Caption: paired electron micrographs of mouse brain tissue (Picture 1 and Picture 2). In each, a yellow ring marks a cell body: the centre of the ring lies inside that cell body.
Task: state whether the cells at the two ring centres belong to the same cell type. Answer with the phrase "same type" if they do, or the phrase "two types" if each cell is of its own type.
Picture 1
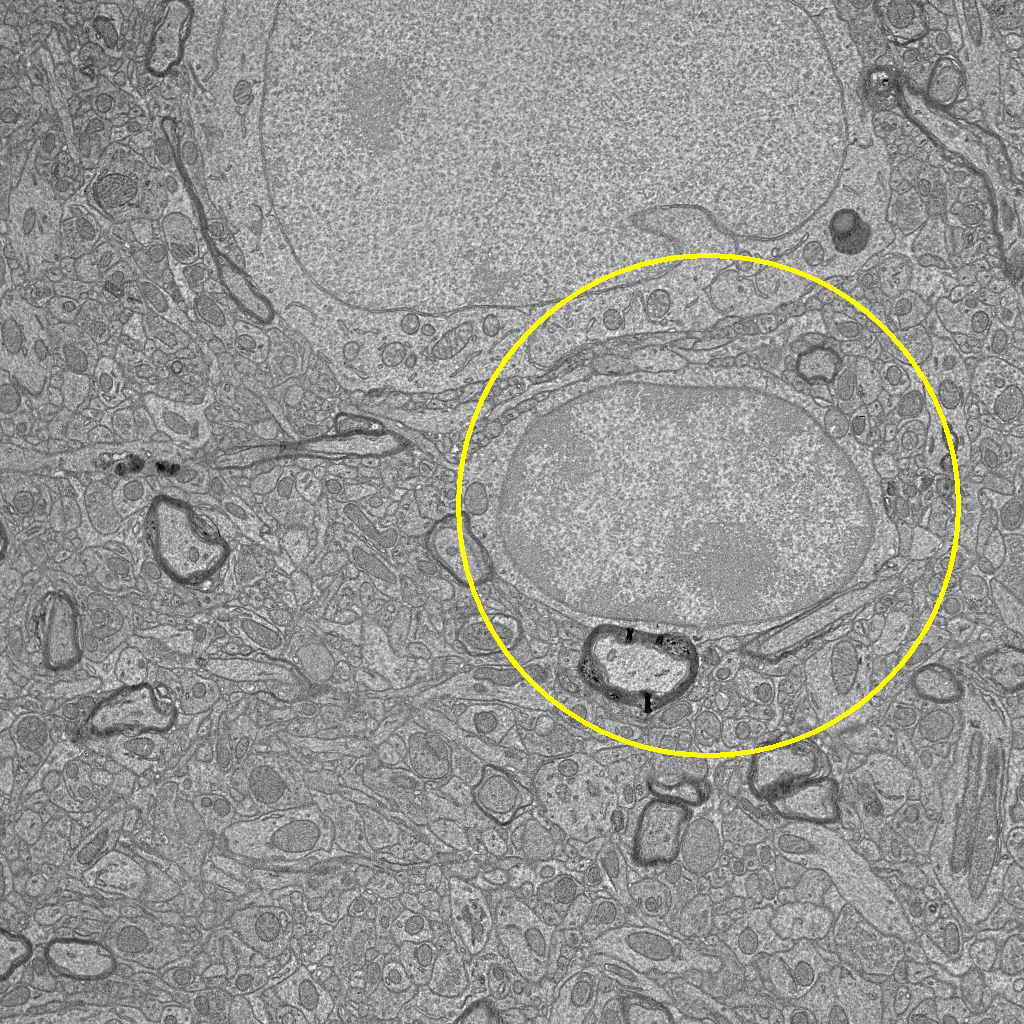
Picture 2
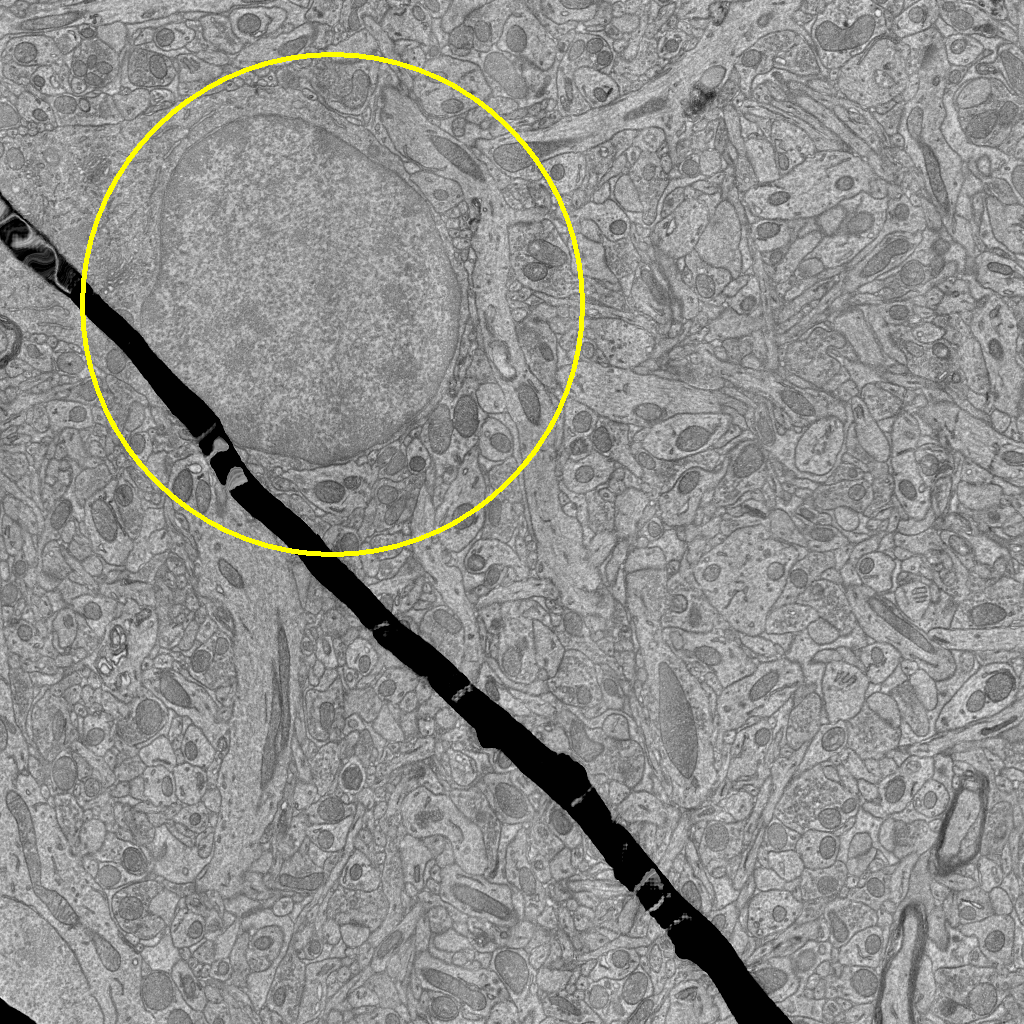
same type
